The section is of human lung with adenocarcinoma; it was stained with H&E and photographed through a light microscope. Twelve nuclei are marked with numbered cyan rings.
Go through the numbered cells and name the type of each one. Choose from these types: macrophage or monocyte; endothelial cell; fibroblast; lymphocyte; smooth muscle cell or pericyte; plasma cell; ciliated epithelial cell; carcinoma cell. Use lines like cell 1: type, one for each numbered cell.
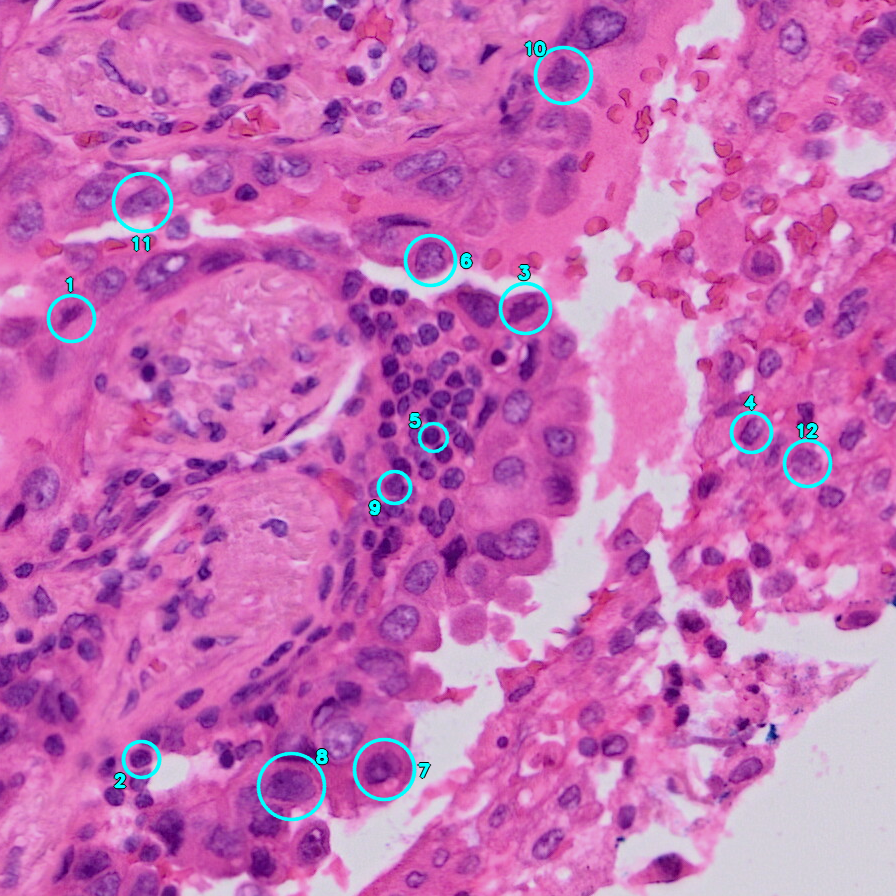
cell 1: carcinoma cell
cell 2: lymphocyte
cell 3: carcinoma cell
cell 4: macrophage or monocyte
cell 5: lymphocyte
cell 6: carcinoma cell
cell 7: carcinoma cell
cell 8: carcinoma cell
cell 9: lymphocyte
cell 10: carcinoma cell
cell 11: carcinoma cell
cell 12: macrophage or monocyte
